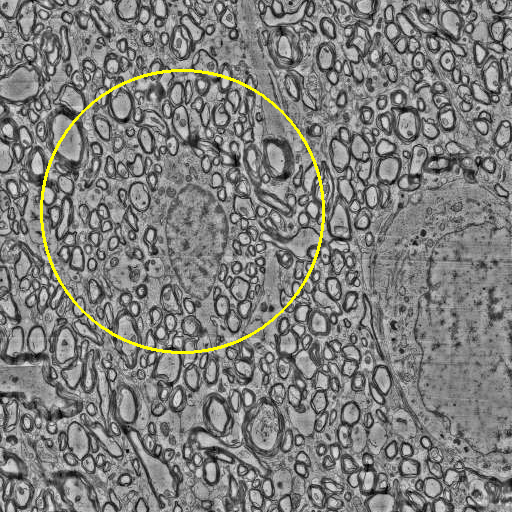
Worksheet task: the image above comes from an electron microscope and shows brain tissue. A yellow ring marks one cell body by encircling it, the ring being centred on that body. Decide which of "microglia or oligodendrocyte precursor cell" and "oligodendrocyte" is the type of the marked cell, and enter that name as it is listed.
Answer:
oligodendrocyte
